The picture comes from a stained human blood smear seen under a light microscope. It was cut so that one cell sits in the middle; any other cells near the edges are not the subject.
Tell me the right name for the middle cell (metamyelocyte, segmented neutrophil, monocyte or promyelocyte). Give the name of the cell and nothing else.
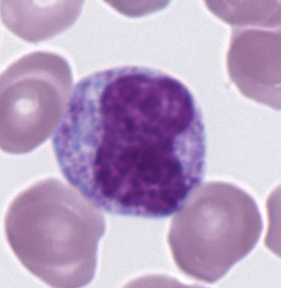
metamyelocyte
